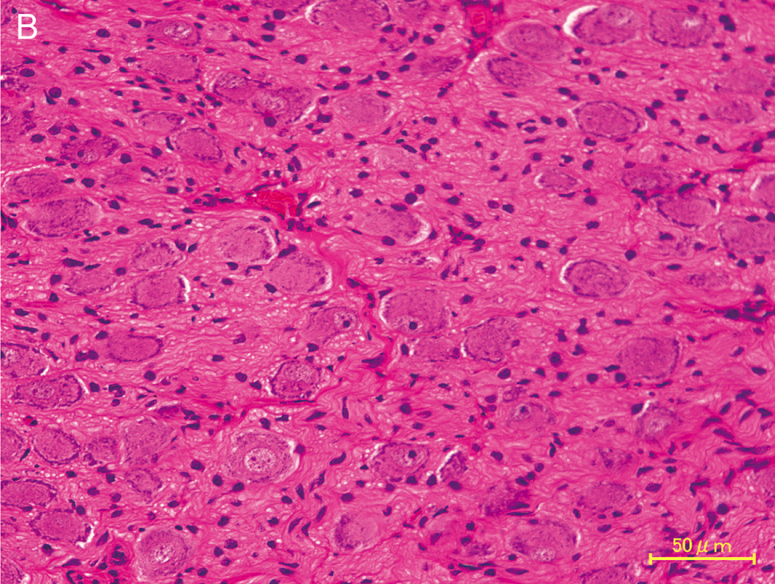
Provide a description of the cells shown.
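This section of a sympathetic ganglion shows many large, round ganglion cells scattered evenly throughout the field. Their cytoplasm is abundant, pale pink to lilac and finely granular, and several show a round, centrally placed nucleus with a distinct nucleolus. Between them lies a pink, finely fibrillar background containing numerous small dark oval and elongated nuclei, some lying close around the large cell bodies. A few small vessels with red blood cells run through the tissue.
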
